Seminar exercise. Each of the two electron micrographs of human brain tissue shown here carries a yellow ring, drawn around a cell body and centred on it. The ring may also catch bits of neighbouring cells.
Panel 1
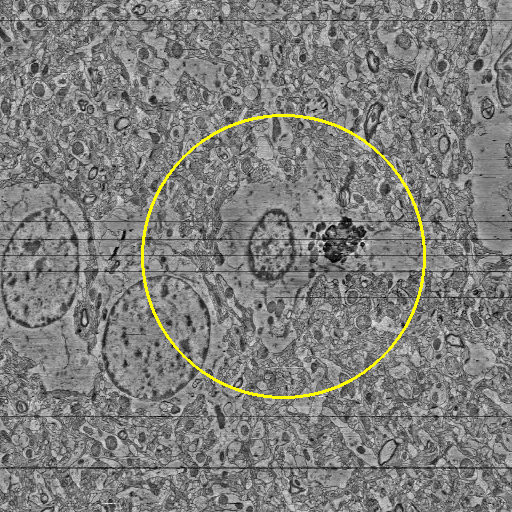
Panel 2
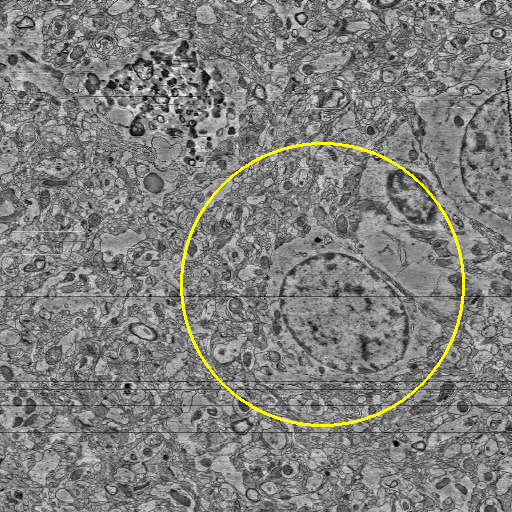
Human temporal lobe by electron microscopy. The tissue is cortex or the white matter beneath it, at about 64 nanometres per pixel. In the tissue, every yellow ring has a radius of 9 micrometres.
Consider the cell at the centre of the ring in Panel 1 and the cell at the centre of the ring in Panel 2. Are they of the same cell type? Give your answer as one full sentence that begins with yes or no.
Yes, both cells are of the same type.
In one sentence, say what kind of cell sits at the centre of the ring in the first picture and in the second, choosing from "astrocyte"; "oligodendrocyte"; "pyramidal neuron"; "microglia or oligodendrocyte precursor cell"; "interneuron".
Each of the two rings is centred on an astrocyte.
